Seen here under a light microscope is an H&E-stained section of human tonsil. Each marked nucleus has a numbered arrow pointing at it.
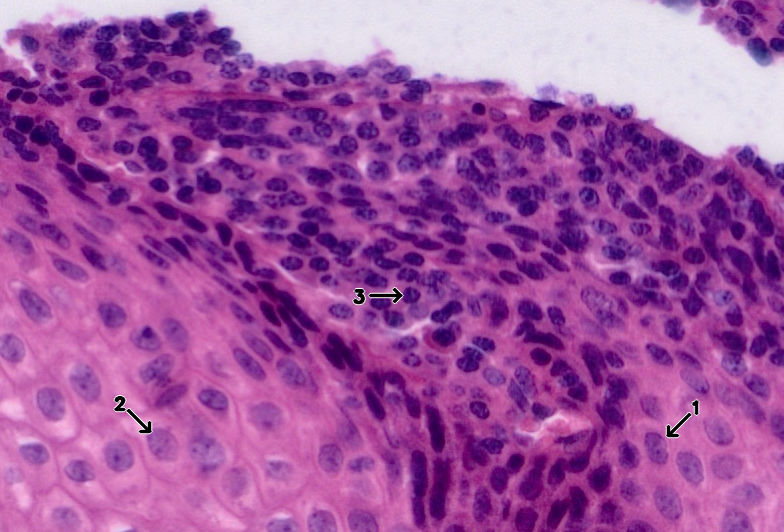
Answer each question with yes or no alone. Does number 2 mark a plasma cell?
no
